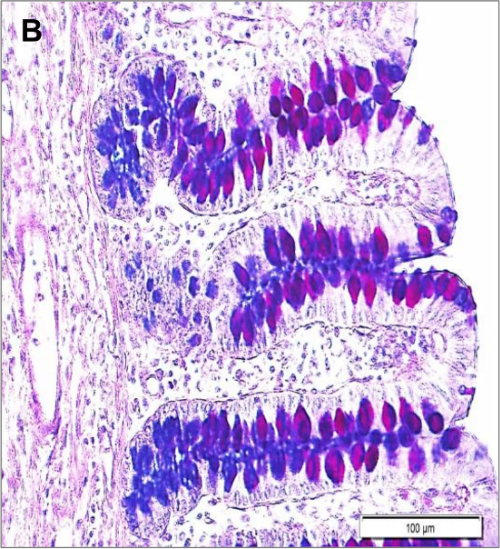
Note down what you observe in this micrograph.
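This is colonic mucosa cut along its crypts, straight tubular glands running from the muscularis side toward the luminal surface on the right. The crypts are lined by columnar epithelium densely packed with rounded goblet cells full of mucin. Loose connective tissue of the lamina propria lies between the crypts.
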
